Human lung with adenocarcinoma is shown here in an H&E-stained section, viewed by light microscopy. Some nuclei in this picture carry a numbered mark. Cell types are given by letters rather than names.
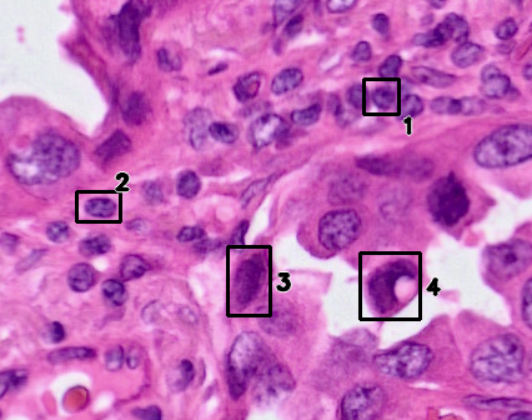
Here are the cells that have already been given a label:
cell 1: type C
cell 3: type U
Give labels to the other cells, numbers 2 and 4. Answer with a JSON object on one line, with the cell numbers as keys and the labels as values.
{"2": "type C", "4": "type U"}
